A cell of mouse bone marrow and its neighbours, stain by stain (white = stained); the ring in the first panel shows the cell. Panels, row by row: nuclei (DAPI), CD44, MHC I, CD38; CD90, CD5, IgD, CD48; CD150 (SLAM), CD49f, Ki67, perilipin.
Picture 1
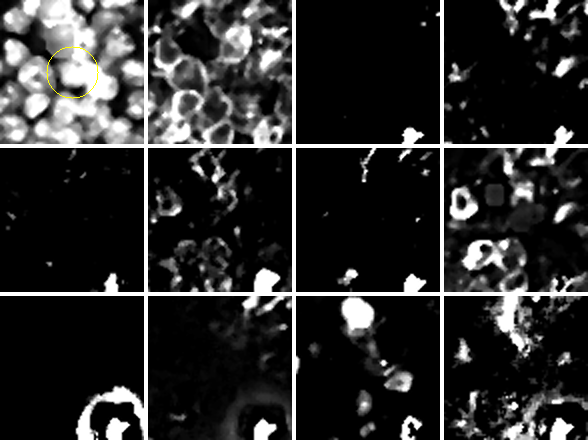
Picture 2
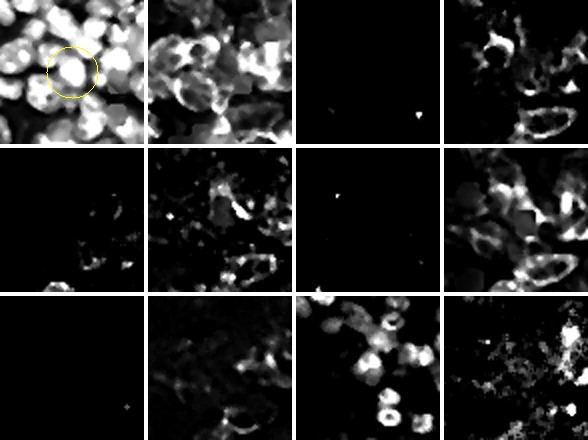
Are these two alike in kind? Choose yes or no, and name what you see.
Yes. Erythroblasts.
